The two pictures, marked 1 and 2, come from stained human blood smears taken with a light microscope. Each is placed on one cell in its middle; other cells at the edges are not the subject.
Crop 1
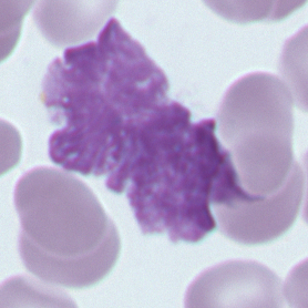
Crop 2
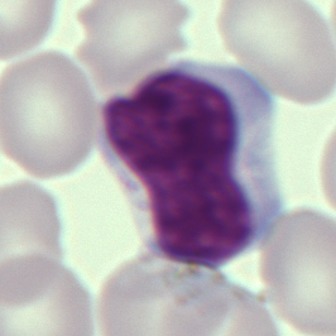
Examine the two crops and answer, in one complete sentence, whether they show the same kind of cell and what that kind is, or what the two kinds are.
No, crop 1 shows a smudge cell, and the cell in crop 2 is a typical lymphocyte.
